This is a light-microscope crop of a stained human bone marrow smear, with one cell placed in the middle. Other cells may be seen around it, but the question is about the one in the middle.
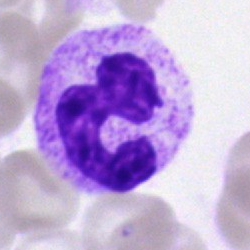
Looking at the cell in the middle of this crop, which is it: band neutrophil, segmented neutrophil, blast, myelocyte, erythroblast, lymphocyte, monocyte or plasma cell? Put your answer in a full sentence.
The crop centres on a single cell, and that cell is a segmented neutrophil.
